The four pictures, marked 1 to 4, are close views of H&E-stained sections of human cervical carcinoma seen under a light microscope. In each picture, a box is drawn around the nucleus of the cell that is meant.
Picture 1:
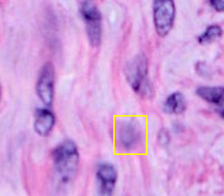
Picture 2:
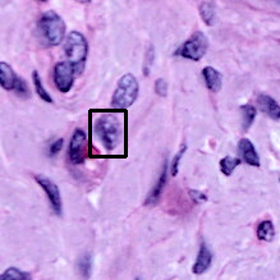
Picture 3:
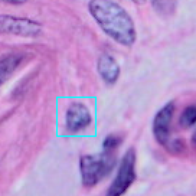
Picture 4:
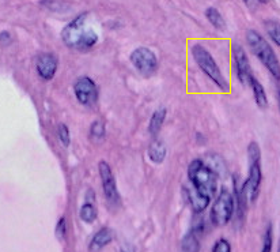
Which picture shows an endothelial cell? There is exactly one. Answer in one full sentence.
Picture 2 is the one that shows the endothelial cell.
